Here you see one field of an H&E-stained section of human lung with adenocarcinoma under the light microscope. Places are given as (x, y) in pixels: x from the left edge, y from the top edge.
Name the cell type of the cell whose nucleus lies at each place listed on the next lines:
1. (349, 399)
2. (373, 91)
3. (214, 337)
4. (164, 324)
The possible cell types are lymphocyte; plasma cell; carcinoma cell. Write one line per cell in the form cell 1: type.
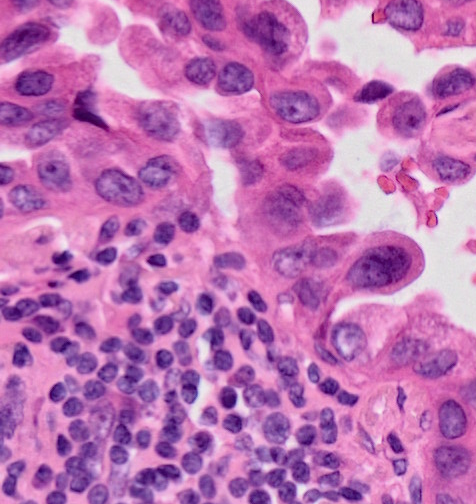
cell 1: lymphocyte
cell 2: carcinoma cell
cell 3: lymphocyte
cell 4: lymphocyte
